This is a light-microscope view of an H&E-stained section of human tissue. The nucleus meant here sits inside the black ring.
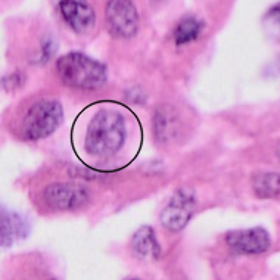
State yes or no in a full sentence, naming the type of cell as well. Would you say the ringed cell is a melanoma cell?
Yes, the ringed cell is a melanoma cell; nothing to add.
